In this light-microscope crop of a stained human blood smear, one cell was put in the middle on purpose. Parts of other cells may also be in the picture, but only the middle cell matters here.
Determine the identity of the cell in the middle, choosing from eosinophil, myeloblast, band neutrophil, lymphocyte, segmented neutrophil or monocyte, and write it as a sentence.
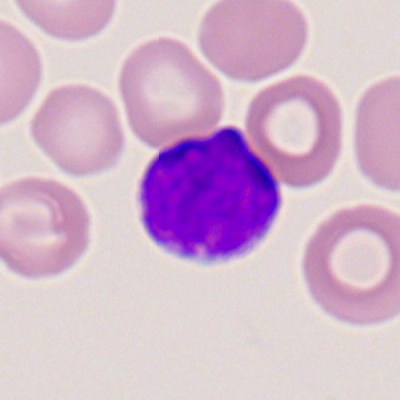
This particular crop is centered on a myeloblast.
